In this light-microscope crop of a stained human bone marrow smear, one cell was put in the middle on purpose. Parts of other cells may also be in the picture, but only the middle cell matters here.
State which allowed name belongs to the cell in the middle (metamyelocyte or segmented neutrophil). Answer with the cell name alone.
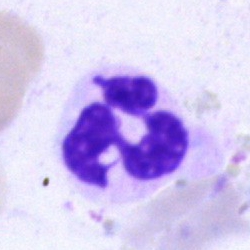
segmented neutrophil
